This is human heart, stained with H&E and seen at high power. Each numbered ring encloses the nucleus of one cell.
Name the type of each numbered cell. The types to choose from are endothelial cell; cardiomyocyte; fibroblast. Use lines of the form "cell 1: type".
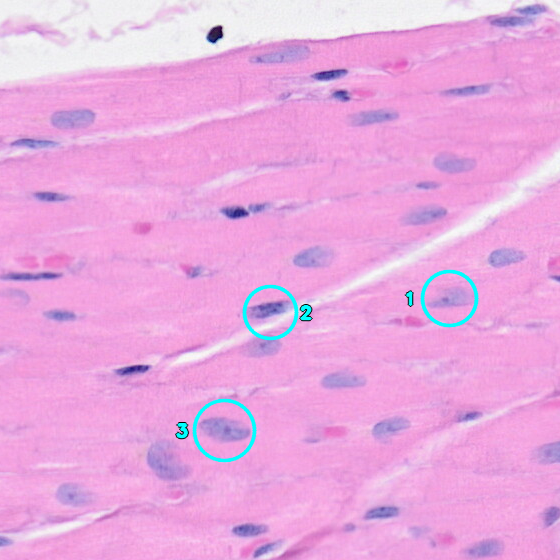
cell 1: cardiomyocyte
cell 2: endothelial cell
cell 3: cardiomyocyte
